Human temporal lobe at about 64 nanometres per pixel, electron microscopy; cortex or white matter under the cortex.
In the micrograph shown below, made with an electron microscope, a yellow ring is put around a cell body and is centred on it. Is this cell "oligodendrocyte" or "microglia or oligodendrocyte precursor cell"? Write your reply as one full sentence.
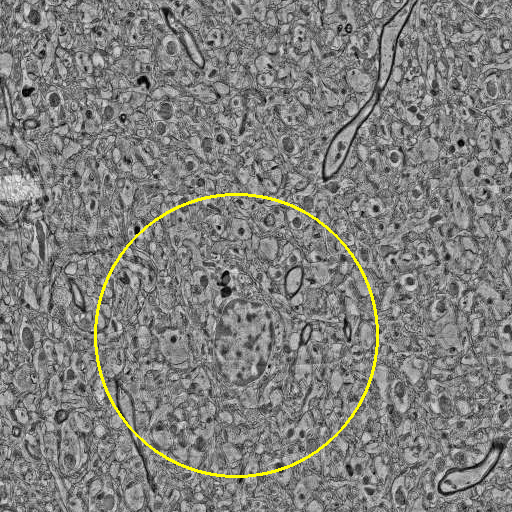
In the micrograph, a microglial cell or oligodendrocyte precursor cell is the cell at the centre of the yellow ring.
